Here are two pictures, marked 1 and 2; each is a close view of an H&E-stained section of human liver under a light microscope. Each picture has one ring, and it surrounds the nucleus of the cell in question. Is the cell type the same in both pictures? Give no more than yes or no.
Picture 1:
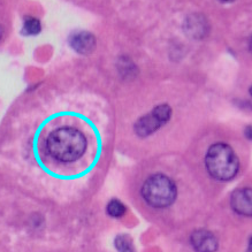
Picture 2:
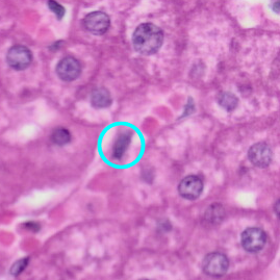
no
